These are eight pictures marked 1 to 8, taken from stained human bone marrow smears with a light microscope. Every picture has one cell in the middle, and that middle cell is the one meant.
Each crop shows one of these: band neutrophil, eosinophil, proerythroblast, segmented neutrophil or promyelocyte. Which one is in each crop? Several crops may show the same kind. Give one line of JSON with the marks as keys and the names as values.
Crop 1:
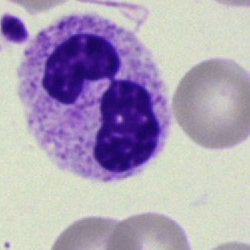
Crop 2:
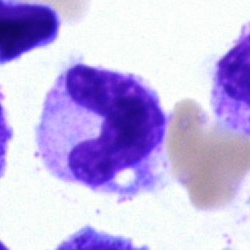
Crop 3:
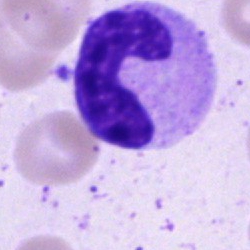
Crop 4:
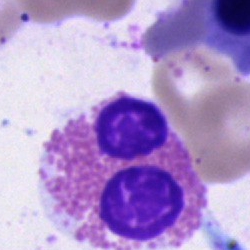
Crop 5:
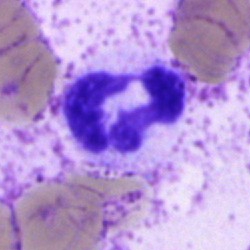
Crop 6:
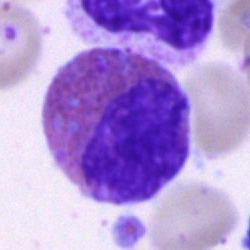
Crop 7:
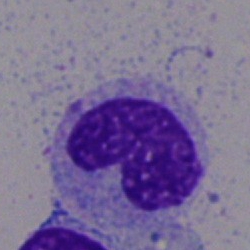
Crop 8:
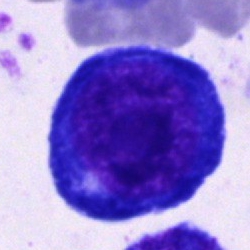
{"1": "segmented neutrophil", "2": "band neutrophil", "3": "band neutrophil", "4": "eosinophil", "5": "segmented neutrophil", "6": "eosinophil", "7": "band neutrophil", "8": "proerythroblast"}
